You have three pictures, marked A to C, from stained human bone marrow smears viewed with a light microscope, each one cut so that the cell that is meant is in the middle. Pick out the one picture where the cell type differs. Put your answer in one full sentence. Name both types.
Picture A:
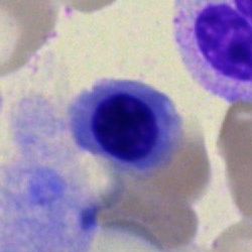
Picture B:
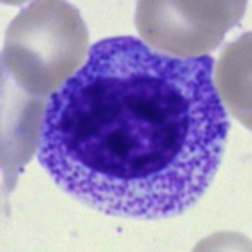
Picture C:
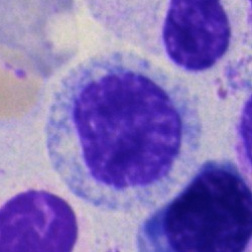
Picture A differs, because its cell is an erythroblast and the rest are myelocytes.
